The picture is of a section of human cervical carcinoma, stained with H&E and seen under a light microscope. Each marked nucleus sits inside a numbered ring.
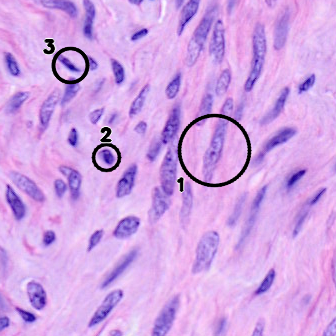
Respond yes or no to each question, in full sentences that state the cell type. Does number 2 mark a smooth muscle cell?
No, cell 2 is correctly identified as a fibroblast and not as a smooth muscle cell.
